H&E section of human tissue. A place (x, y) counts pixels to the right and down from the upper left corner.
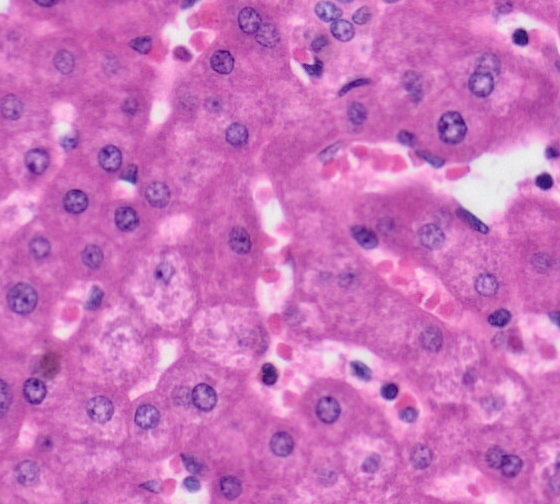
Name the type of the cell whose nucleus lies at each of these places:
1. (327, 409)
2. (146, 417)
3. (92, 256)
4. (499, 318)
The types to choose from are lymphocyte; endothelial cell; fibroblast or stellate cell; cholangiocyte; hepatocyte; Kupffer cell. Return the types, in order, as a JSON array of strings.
["hepatocyte", "hepatocyte", "hepatocyte", "fibroblast or stellate cell"]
